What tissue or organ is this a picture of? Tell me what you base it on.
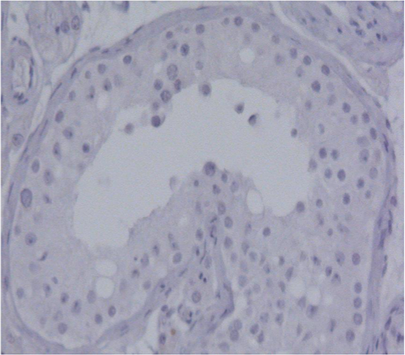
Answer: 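A tubule in cross section with a multilayered epithelium around a central lumen. A thin wall of flattened cells surrounds the tubule. Rounded cells with blue nuclei stack in layers from the wall toward the lumen. That points to this answer: testicular tissue.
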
